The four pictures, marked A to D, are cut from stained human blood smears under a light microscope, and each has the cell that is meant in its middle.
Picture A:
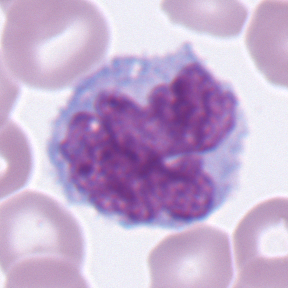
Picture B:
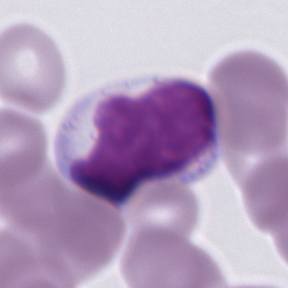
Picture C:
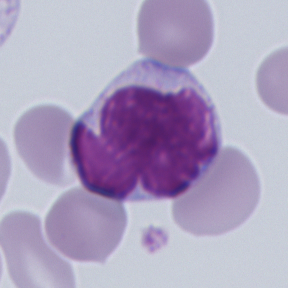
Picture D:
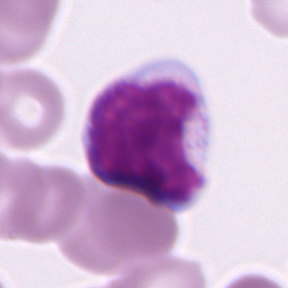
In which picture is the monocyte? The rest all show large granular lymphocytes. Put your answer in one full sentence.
Picture A is the one that shows the monocyte.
